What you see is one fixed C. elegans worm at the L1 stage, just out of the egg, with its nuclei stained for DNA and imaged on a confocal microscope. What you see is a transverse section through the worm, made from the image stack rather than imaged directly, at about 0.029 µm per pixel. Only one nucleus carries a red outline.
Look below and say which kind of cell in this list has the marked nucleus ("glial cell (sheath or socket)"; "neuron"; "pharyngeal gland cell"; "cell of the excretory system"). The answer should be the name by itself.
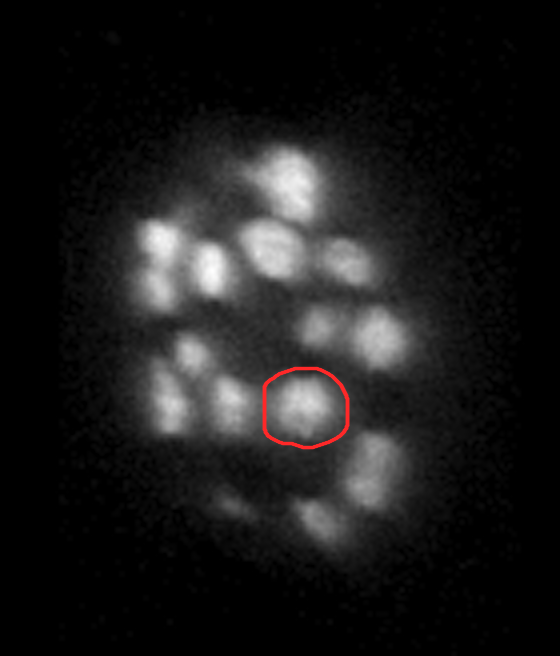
pharyngeal gland cell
